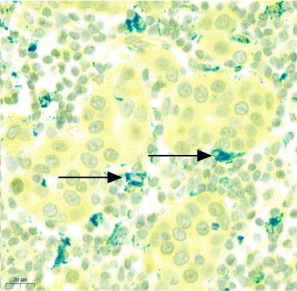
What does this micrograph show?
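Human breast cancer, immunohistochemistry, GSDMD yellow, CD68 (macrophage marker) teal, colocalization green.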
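The tumor cells are large, with pale yellow cytoplasm and big round to oval nuclei, many with a visible nucleolus. Between the nests lie many smaller, darker, rounded nuclei of infiltrating cells. Scattered among these, mostly at the edges of the nests, are irregular cells stained teal to green, some with short processes. Arrows point to two of them lying close against the tumor nests.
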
